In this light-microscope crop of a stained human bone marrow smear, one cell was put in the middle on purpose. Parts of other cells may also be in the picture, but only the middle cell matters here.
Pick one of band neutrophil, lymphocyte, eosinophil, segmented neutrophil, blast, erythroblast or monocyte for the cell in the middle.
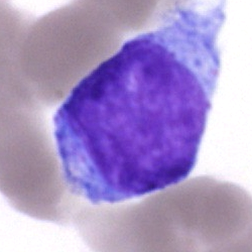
blast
